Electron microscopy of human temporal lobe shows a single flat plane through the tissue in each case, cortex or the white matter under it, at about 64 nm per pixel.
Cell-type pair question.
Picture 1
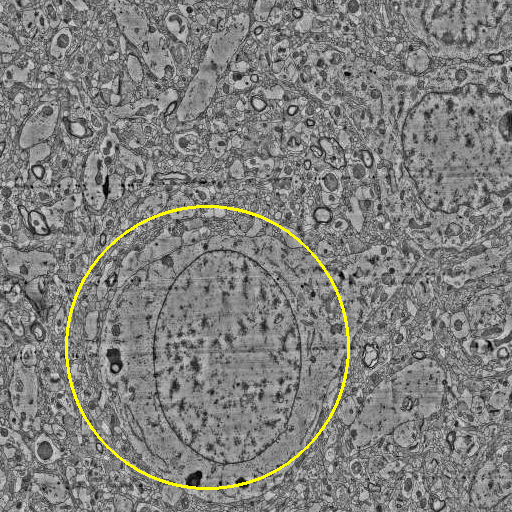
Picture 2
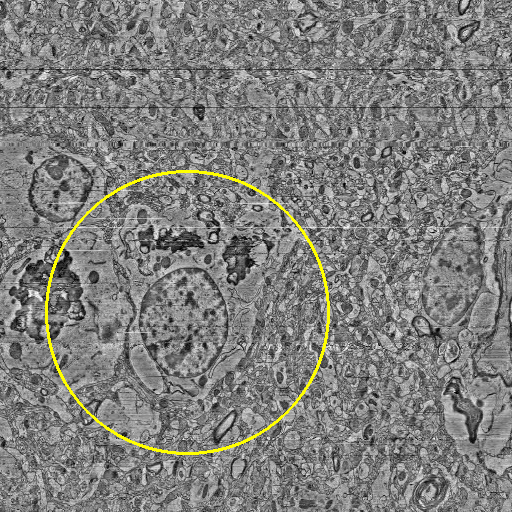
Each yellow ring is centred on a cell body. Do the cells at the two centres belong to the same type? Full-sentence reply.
No, the two cells belong to two types.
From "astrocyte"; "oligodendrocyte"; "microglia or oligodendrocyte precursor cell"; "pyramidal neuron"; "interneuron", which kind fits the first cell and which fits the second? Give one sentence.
The cell marked in the first picture is a pyramidal neuron, and the one marked in the second is an astrocyte.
